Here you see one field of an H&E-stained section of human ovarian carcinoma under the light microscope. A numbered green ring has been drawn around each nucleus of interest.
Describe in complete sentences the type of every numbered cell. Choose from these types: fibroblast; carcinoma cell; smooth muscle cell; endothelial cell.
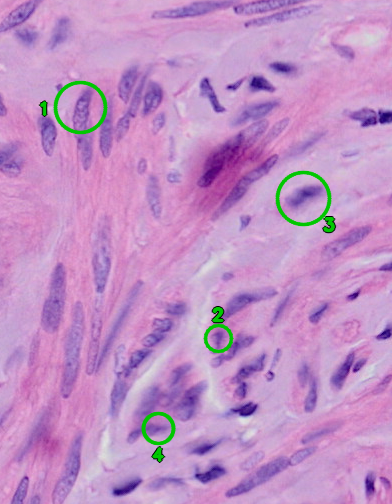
Cell 1 is a smooth muscle cell, cell 2 is a smooth muscle cell, cell 3 is a fibroblast and cell 4 is a smooth muscle cell.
